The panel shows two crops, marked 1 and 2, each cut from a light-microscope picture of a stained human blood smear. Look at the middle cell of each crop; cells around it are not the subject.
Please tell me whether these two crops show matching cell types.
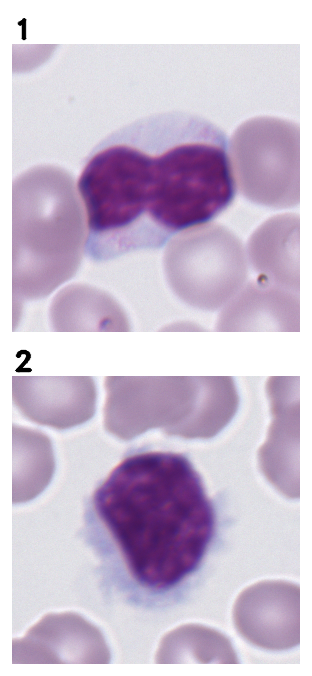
no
